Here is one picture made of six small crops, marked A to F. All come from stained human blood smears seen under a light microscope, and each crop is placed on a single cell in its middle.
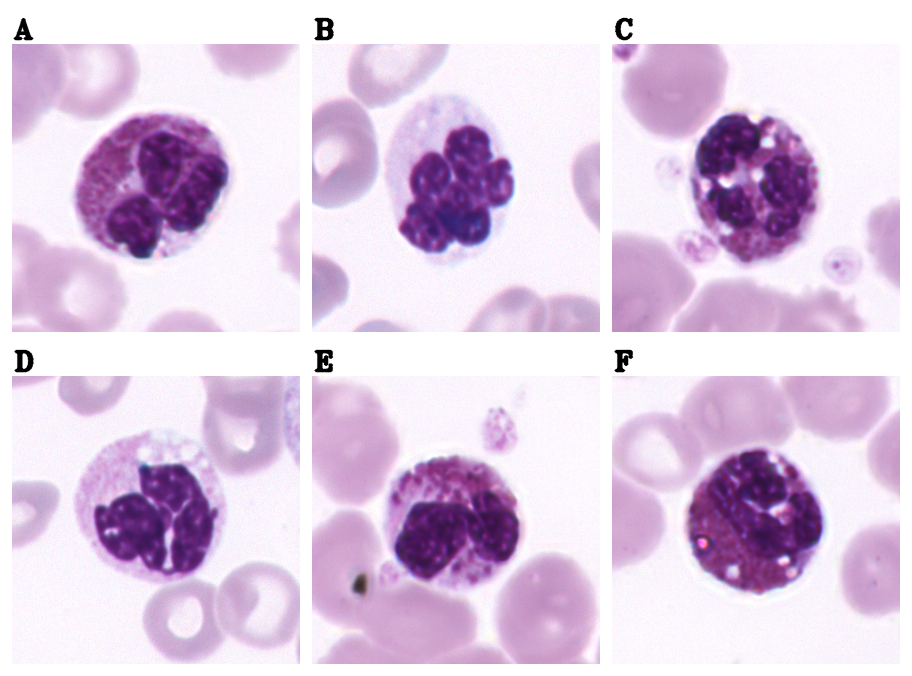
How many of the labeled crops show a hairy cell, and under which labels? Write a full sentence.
Zero is the count, since hairy cells occur in none of the crops.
